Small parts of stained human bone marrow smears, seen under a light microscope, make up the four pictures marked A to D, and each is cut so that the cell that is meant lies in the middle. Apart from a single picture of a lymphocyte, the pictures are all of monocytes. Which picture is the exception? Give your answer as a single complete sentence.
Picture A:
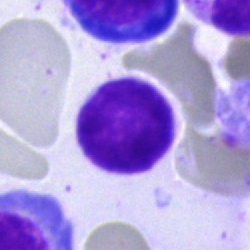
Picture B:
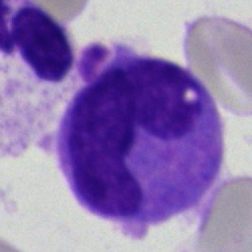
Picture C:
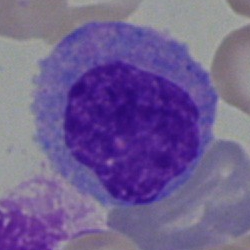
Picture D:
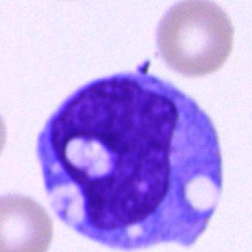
Picture A is the one that shows the lymphocyte.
